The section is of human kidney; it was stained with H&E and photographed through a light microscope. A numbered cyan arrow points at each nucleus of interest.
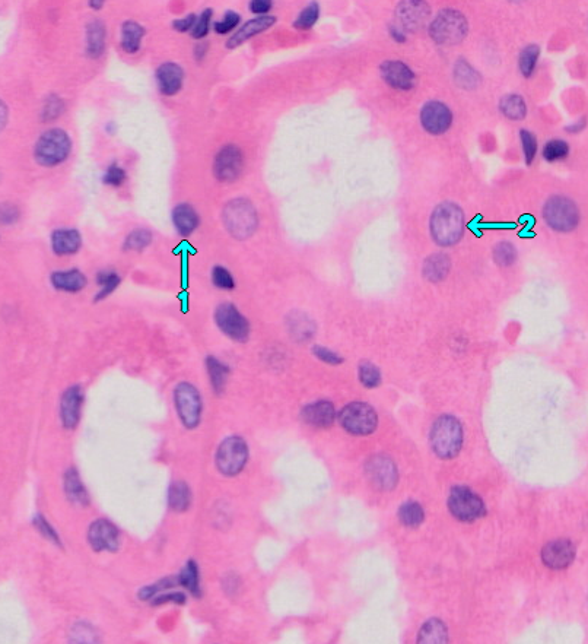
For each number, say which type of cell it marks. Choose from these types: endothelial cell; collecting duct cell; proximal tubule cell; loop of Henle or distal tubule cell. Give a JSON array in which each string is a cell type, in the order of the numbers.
["loop of Henle or distal tubule cell", "proximal tubule cell"]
